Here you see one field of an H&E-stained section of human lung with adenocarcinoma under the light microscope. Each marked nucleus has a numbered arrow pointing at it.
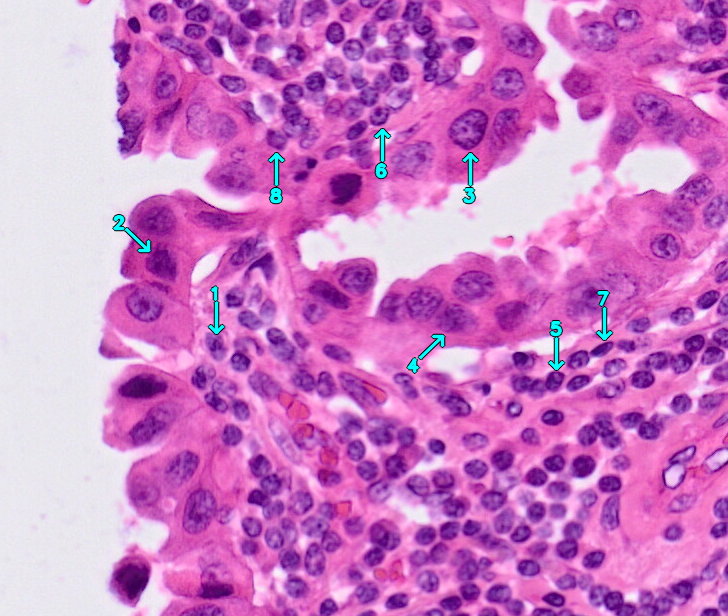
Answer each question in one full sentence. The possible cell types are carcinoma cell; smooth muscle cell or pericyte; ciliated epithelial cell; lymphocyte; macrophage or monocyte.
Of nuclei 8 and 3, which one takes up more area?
Nucleus 3 is larger, with an area about 3 times that of nucleus 8.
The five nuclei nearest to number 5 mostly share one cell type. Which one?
Around number 5, most of the five nearest nuclei are those of lymphocytes.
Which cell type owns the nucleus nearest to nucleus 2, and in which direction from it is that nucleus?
The nearest nucleus is that of a carcinoma cell and lies below nucleus 2.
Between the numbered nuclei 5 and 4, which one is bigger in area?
The larger nucleus is 4, at roughly 2.5 times the area of 5.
